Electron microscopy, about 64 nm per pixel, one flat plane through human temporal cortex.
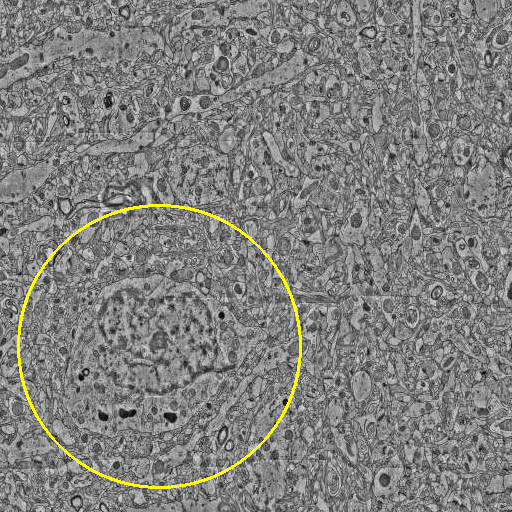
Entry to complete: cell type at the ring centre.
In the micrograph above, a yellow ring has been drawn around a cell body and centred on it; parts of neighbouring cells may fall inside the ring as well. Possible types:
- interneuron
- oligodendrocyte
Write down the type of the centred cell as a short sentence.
The ring is centred on an interneuron.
